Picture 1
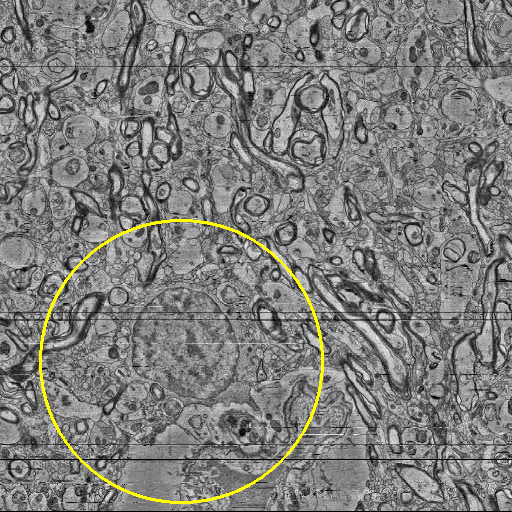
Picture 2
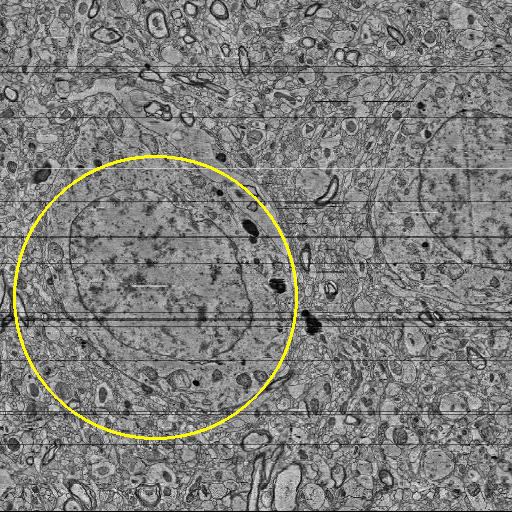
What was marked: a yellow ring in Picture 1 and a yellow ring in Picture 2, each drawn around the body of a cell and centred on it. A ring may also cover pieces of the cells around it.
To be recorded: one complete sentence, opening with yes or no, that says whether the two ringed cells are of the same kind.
No, the two ringed cells are of two kinds.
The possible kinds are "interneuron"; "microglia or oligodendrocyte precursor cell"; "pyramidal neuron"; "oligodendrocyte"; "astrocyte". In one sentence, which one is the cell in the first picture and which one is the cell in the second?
The cell ringed in the second picture is a pyramidal neuron, whereas the one ringed in the first is an oligodendrocyte.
